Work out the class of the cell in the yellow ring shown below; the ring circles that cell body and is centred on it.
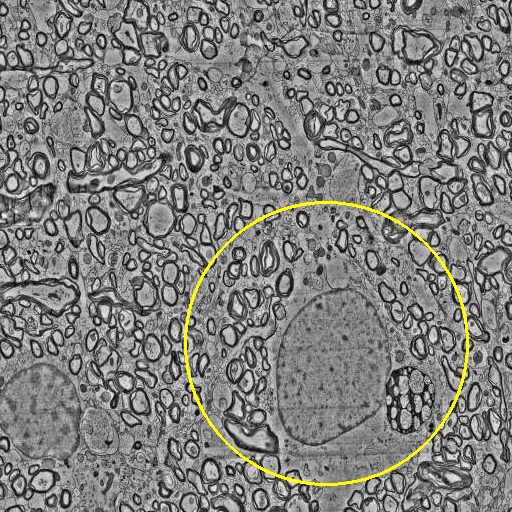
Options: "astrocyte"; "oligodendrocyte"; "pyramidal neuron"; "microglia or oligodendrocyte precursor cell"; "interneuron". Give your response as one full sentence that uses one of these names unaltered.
The body ringed in yellow, right at the ring's centre, is that of an astrocyte.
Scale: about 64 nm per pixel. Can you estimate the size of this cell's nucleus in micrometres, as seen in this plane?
In this plane, the nucleus of the cell at the centre of the ring measures about 10 by 8 micrometres.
